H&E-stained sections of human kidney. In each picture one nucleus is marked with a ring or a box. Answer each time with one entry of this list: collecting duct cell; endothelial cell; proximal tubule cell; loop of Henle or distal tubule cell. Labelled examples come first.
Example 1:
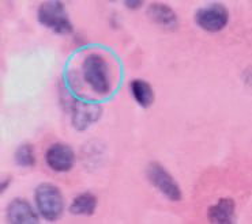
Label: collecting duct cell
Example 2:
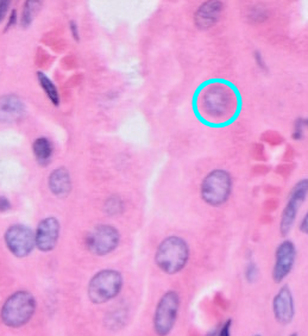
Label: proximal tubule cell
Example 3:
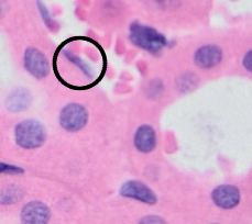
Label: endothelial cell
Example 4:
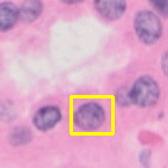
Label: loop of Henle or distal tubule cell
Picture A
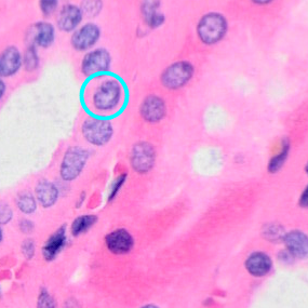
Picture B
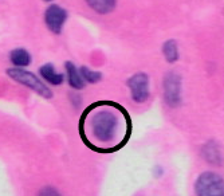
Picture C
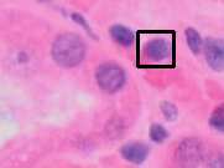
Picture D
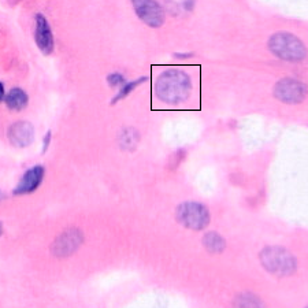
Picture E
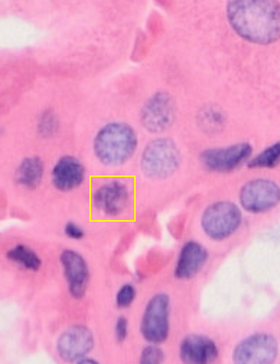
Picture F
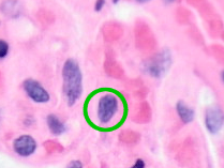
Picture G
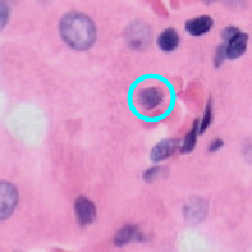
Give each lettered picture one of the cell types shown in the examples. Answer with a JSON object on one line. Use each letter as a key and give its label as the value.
{"A": "collecting duct cell", "B": "loop of Henle or distal tubule cell", "C": "endothelial cell", "D": "proximal tubule cell", "E": "loop of Henle or distal tubule cell", "F": "endothelial cell", "G": "endothelial cell"}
